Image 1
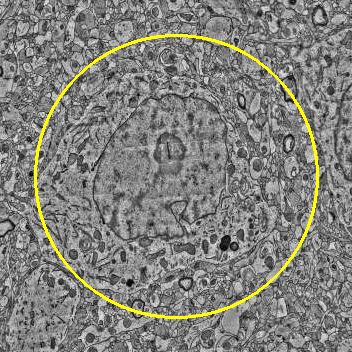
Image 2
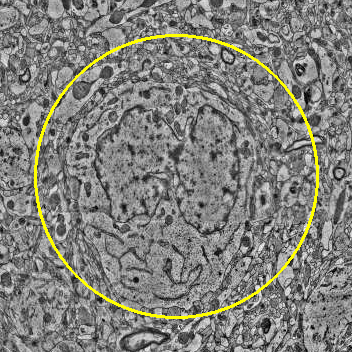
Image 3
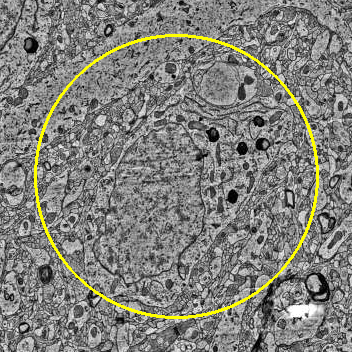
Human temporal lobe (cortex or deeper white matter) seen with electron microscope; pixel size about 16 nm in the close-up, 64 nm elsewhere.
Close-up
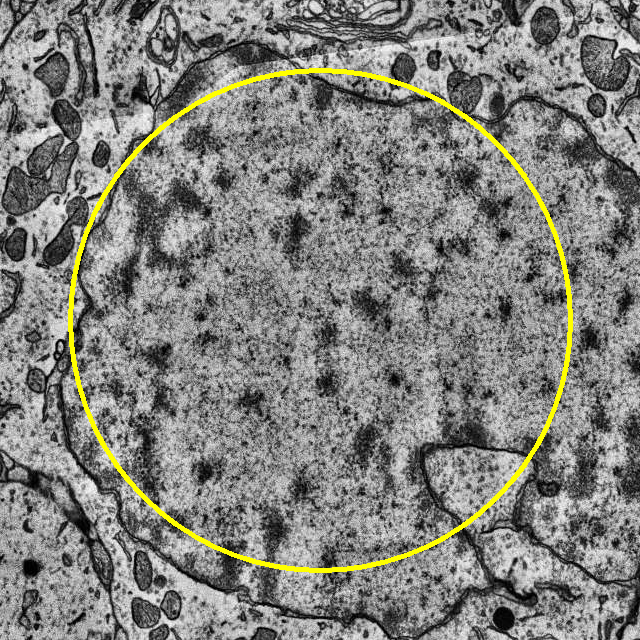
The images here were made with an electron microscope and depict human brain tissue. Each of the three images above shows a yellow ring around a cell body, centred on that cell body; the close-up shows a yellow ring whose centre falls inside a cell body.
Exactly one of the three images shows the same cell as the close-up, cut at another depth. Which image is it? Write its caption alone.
Image 1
